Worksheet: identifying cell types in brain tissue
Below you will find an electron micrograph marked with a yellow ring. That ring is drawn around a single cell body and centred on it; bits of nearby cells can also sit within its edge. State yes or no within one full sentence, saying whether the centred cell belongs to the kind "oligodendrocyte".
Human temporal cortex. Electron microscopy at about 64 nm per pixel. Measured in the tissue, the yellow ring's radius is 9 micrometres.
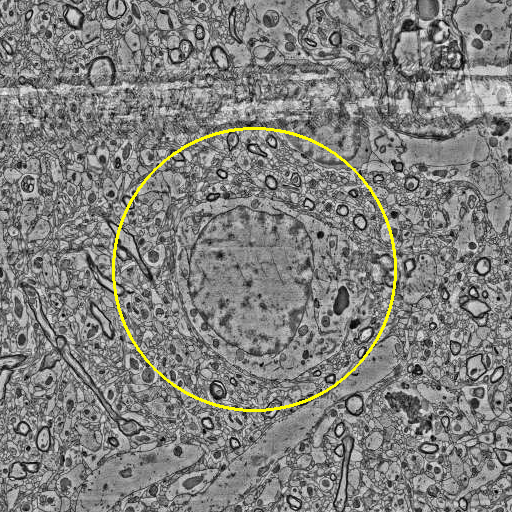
No, the cell sitting at the centre of the yellow ring in this picture is of another kind.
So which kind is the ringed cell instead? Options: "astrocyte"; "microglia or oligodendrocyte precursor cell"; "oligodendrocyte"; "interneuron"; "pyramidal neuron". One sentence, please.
What the ring is centred on is an interneuron.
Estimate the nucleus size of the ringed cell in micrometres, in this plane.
In this plane, roughly 10 by 8 micrometres.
